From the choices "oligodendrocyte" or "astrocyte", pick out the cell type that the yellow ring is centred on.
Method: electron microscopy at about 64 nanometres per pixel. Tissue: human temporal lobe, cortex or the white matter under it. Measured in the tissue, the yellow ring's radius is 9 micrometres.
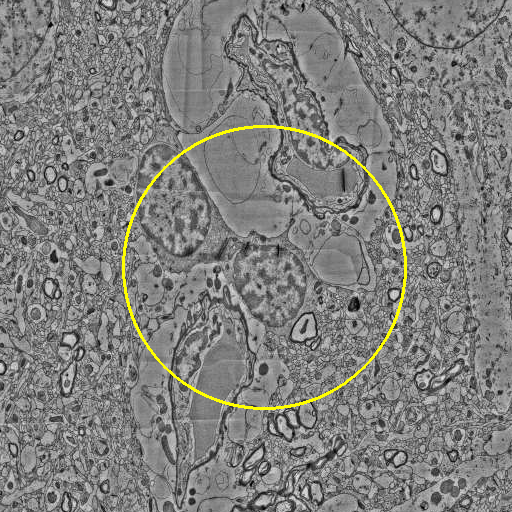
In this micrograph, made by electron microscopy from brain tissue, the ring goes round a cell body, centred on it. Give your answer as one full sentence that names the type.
The yellow ring is centred on an oligodendrocyte, whose cell body it encircles in the picture.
